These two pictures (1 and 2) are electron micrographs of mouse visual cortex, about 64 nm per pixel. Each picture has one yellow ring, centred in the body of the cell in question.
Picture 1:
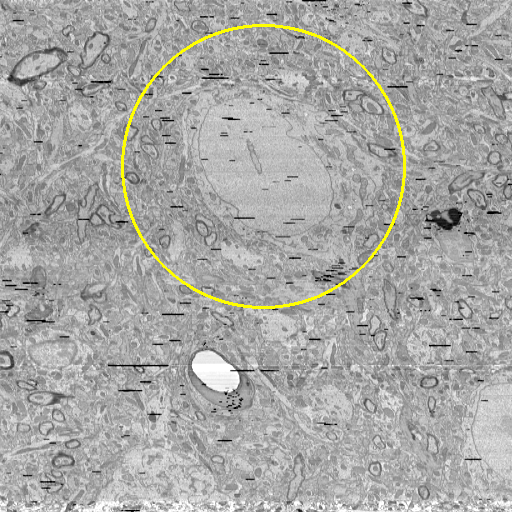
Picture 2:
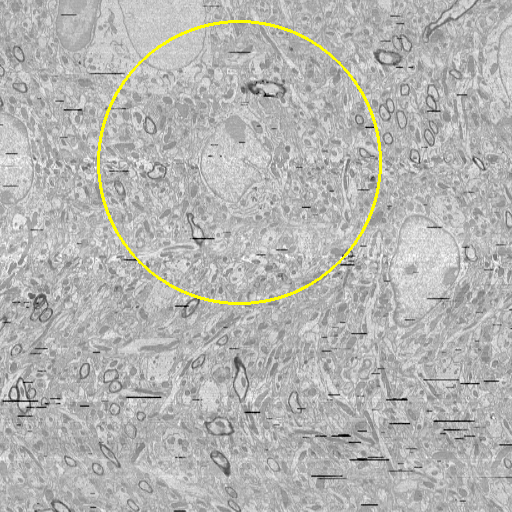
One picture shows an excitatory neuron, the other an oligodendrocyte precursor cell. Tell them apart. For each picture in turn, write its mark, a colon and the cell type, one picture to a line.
1: excitatory neuron
2: oligodendrocyte precursor cell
